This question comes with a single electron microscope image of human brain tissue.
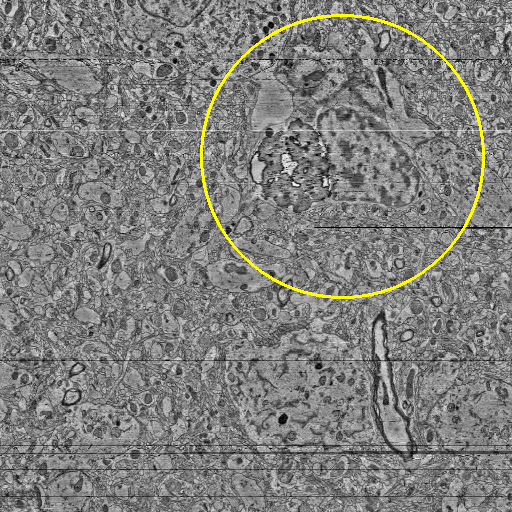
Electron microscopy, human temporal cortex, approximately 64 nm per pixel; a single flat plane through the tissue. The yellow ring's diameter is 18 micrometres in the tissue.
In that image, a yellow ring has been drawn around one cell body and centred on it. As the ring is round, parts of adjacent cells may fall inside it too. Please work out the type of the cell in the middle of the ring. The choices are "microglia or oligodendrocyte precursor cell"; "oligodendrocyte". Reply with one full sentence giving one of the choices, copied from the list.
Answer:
Of the choices, a microglial cell or oligodendrocyte precursor cell is the cell sitting in the middle of the ring.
